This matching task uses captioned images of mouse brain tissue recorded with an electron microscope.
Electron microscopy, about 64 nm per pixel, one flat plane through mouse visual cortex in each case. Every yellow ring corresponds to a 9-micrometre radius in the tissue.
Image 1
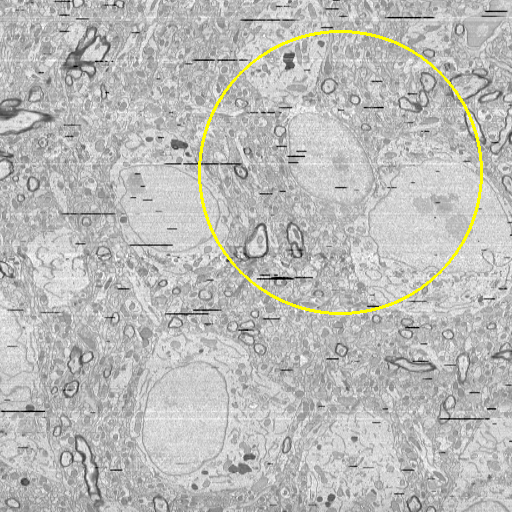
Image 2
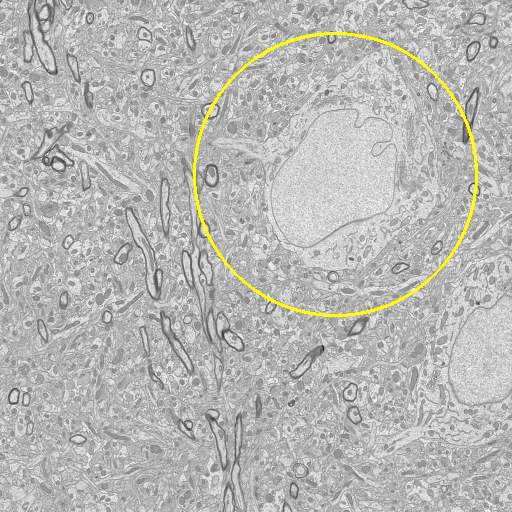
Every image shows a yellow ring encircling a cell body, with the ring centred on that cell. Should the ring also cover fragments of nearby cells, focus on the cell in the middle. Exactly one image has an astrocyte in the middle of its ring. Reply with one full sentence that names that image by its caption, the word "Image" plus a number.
Image 1 shows the cell in question at the centre of its yellow ring.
